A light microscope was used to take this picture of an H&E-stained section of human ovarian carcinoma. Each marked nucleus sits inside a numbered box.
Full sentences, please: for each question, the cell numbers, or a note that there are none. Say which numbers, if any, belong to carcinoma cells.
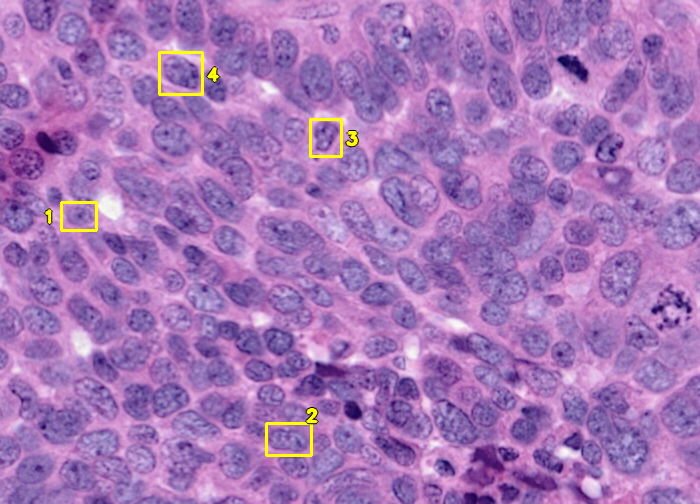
The cells referred to by numbers 1, 2 and 4 are carcinoma cells.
